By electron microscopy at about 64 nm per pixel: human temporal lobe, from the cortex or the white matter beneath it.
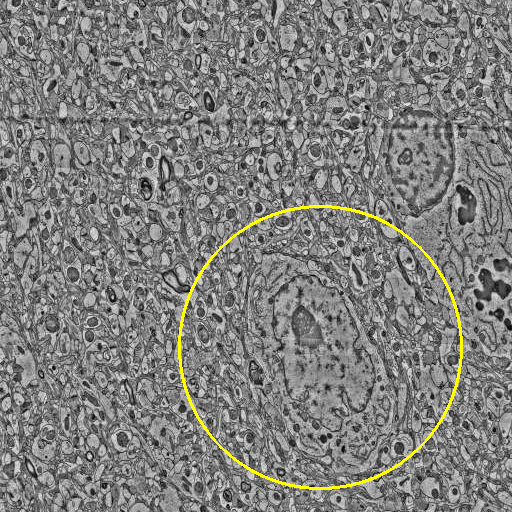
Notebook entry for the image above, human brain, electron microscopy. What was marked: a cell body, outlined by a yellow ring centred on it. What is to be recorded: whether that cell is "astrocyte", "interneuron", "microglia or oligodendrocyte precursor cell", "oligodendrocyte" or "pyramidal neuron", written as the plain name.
interneuron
